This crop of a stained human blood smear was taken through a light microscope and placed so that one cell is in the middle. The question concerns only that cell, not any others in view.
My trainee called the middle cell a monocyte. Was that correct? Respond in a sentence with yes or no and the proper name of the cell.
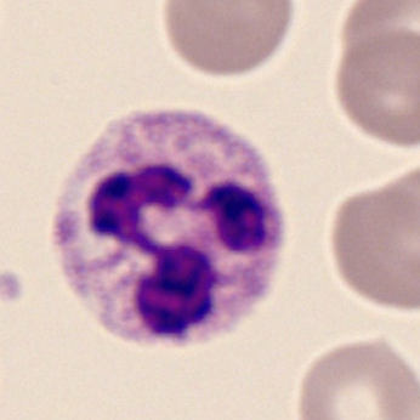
No, instead of being a monocyte, the middle cell is a segmented neutrophil.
